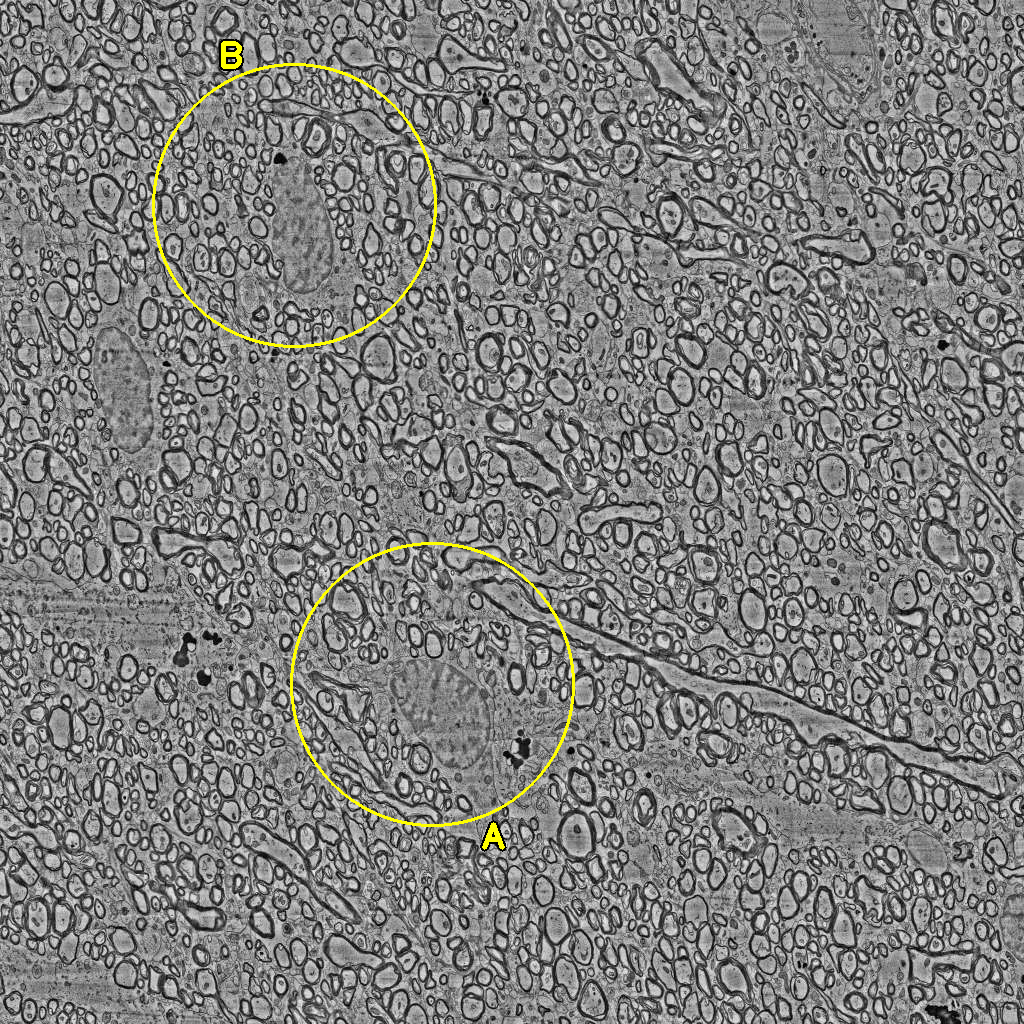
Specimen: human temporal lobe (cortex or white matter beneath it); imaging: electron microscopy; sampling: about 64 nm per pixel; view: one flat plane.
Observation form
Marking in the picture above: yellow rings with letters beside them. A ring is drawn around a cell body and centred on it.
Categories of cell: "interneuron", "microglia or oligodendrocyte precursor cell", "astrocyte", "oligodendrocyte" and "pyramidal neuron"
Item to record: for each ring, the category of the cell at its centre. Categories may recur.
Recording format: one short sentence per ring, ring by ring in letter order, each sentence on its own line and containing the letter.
Ring A is placed on an oligodendrocyte.
Ring B is placed on an oligodendrocyte.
